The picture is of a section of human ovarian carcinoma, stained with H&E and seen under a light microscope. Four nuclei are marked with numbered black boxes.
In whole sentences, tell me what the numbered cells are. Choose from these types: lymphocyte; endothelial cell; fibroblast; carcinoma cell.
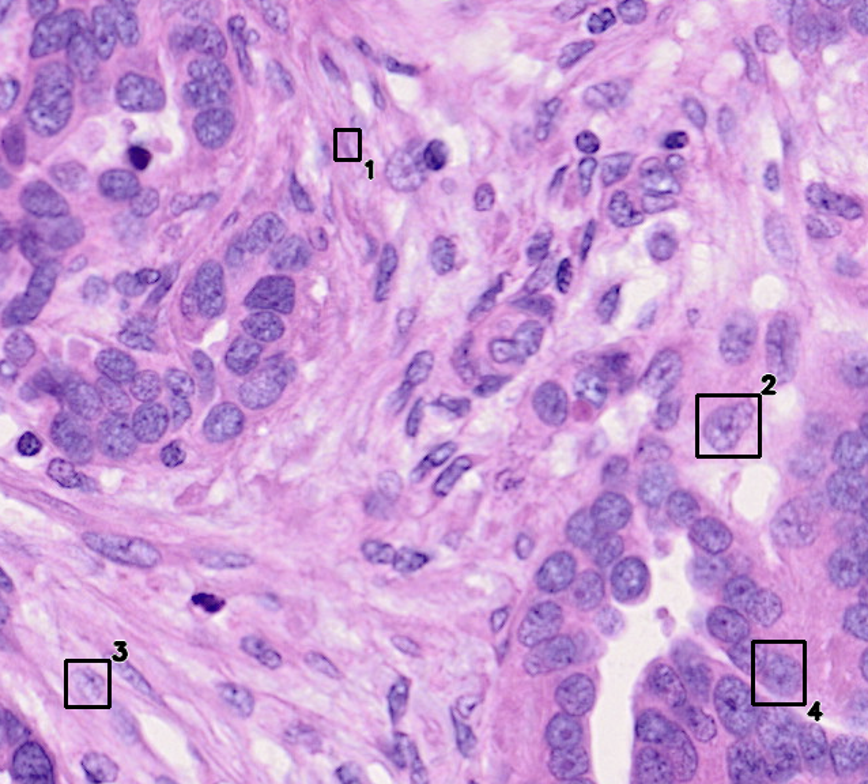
Cells 1, 2 and 3 are fibroblasts. Cell 4 is a carcinoma cell.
